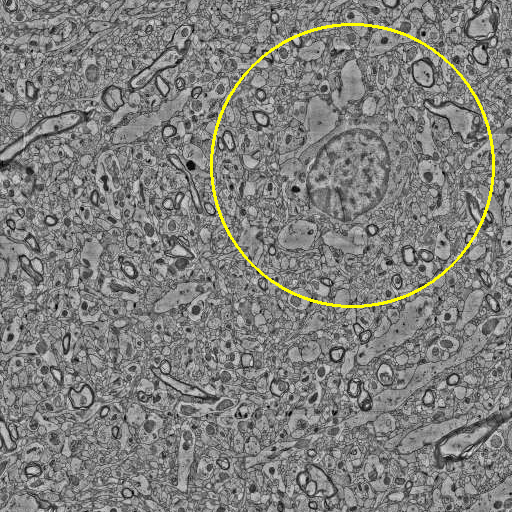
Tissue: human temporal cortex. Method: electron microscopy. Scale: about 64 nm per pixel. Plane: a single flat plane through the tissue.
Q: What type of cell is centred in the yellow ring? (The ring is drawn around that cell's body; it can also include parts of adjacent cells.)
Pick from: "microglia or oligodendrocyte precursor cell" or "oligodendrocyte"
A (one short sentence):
The yellow ring is centred on an oligodendrocyte.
